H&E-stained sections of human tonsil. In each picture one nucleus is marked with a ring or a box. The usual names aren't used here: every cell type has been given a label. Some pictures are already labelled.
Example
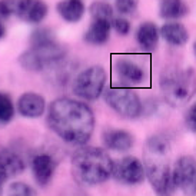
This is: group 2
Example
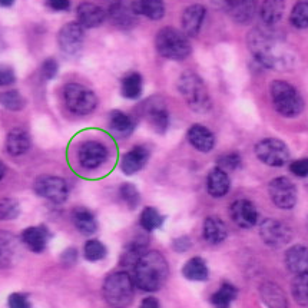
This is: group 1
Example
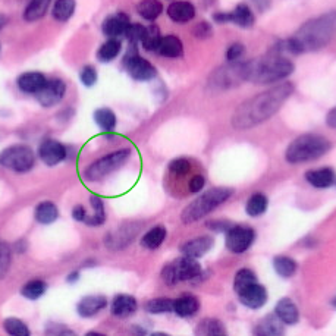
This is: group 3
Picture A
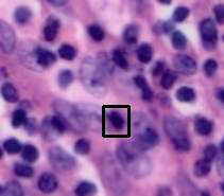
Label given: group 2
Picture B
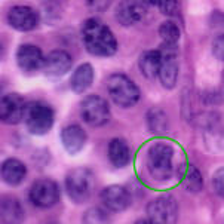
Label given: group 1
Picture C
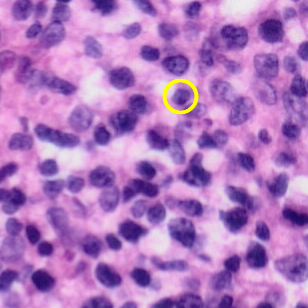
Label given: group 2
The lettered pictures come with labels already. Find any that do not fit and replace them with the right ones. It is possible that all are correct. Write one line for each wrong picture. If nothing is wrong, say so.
A: group 3, not group 2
